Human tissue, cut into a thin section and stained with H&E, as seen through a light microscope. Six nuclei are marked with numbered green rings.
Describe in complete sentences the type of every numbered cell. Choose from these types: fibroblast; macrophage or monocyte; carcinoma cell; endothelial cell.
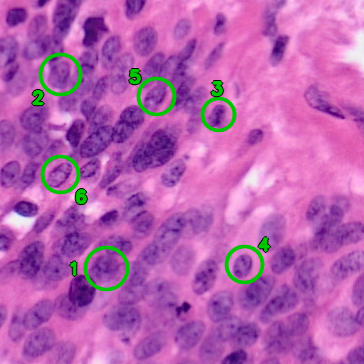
Cells 1, 2 and 5 are carcinoma cells. Cells 3, 4 and 6 are macrophages or monocytes.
